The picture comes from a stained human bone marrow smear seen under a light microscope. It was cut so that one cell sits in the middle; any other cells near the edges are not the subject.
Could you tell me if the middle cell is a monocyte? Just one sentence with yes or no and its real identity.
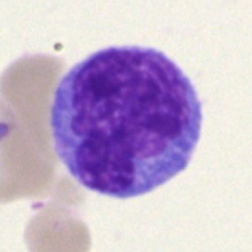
Yes, the cell shown in the middle is a monocyte.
